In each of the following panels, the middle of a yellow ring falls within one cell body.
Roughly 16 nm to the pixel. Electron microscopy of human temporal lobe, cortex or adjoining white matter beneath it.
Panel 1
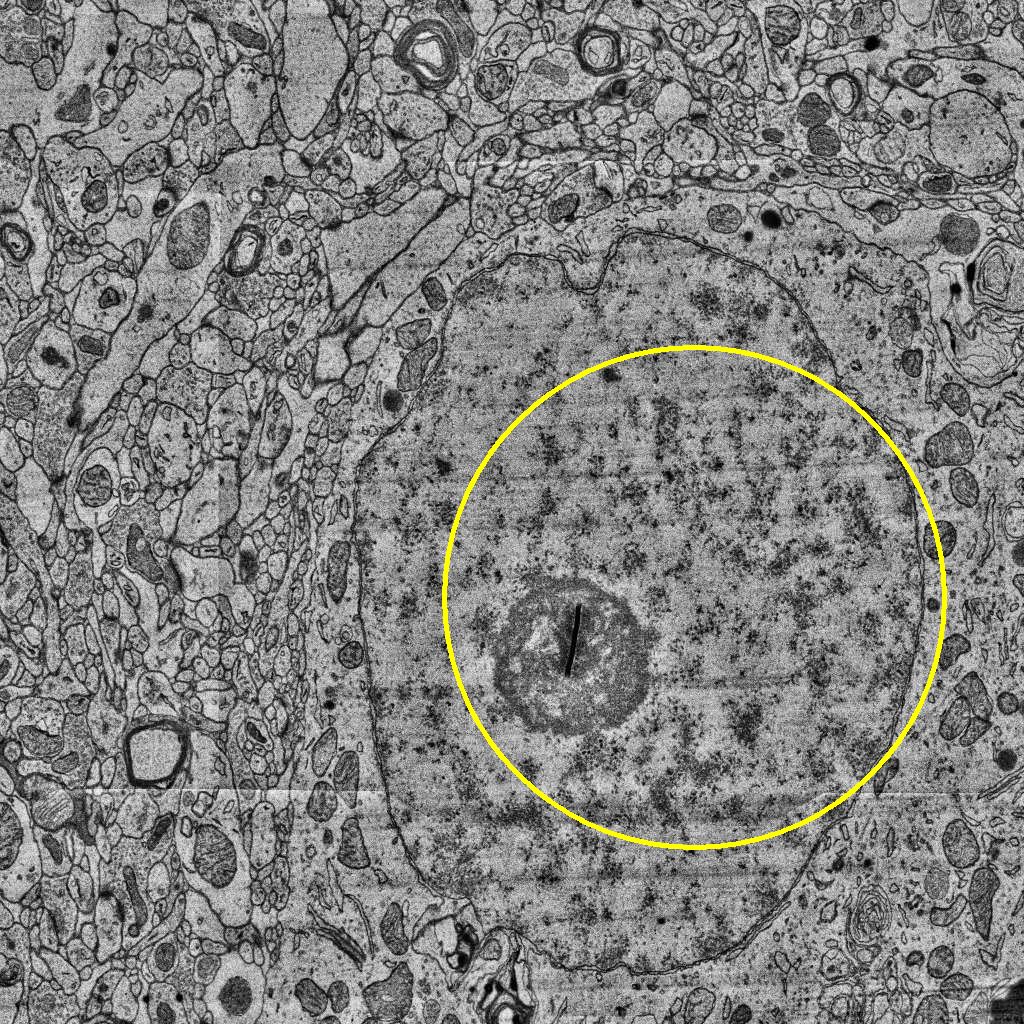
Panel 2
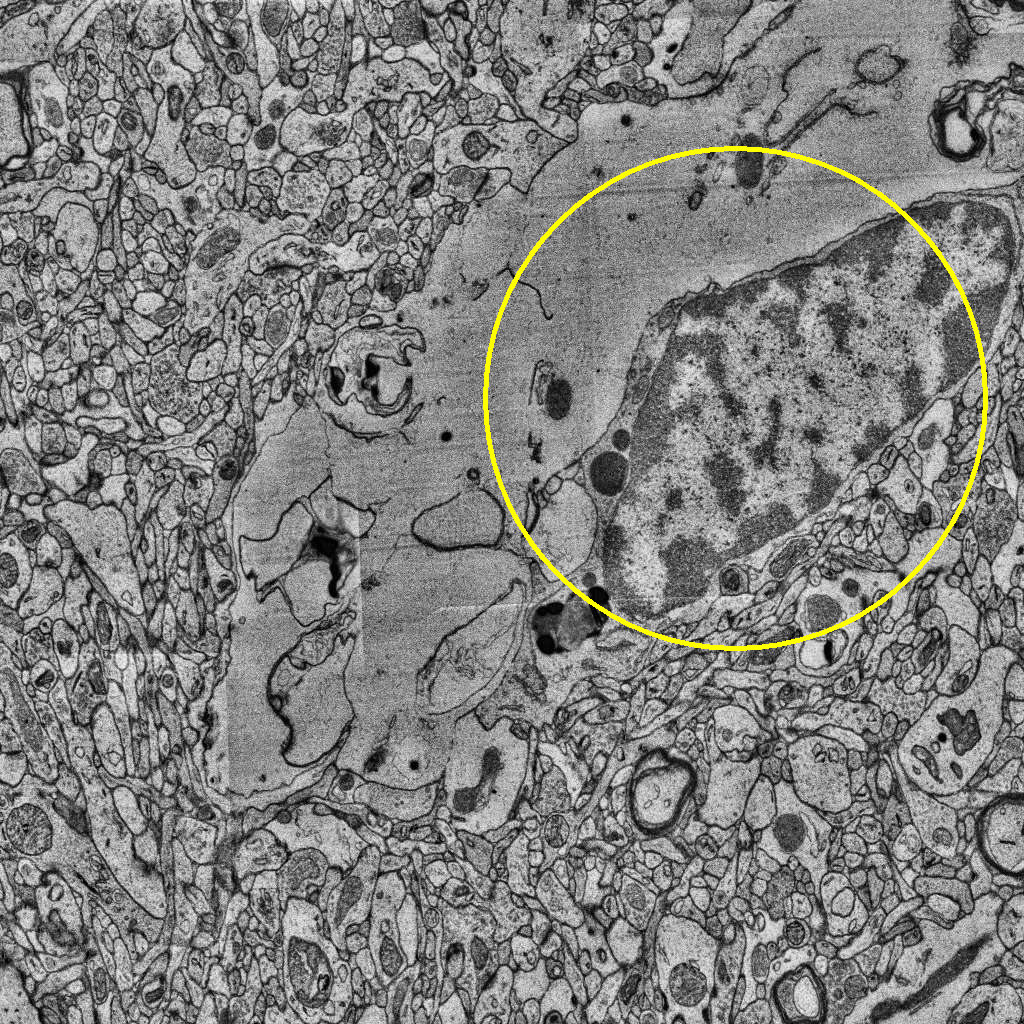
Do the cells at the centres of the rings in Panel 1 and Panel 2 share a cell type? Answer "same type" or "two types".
two types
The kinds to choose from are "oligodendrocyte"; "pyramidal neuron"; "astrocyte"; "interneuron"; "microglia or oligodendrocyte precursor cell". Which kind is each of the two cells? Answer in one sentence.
The first ring encloses an interneuron; the second ring encloses a microglial cell or oligodendrocyte precursor cell.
